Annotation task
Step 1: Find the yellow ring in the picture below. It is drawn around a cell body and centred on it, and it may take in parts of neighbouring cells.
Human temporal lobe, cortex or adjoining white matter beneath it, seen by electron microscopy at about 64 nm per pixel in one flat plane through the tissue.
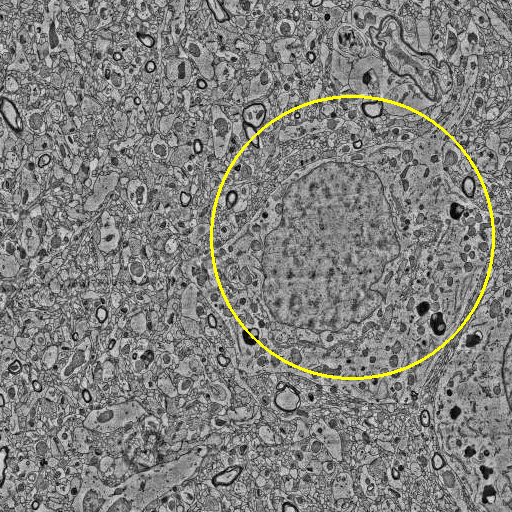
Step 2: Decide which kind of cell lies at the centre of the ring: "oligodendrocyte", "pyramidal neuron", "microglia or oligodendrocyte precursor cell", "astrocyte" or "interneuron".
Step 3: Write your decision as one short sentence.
The kind of cell at the ring's centre is an interneuron.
